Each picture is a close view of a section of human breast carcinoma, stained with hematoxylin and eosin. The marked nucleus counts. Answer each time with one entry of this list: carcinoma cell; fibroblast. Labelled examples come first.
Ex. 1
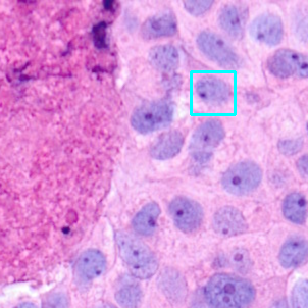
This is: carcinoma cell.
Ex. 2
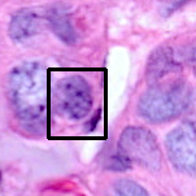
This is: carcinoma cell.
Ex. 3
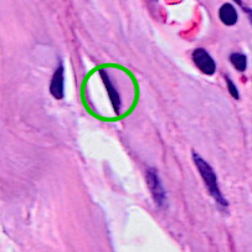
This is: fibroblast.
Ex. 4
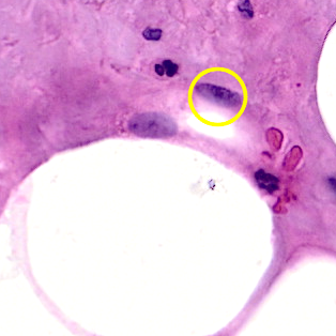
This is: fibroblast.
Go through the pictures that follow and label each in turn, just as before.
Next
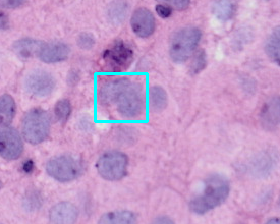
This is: carcinoma cell.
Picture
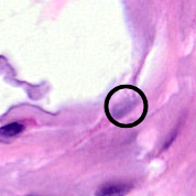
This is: fibroblast.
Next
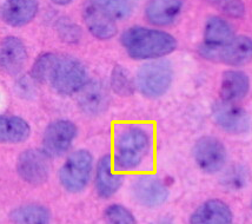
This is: carcinoma cell.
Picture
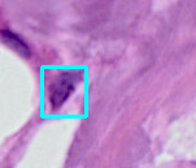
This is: fibroblast.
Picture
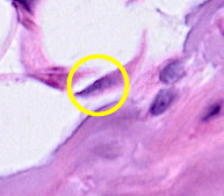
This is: fibroblast.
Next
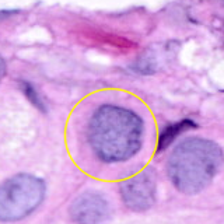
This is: carcinoma cell.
